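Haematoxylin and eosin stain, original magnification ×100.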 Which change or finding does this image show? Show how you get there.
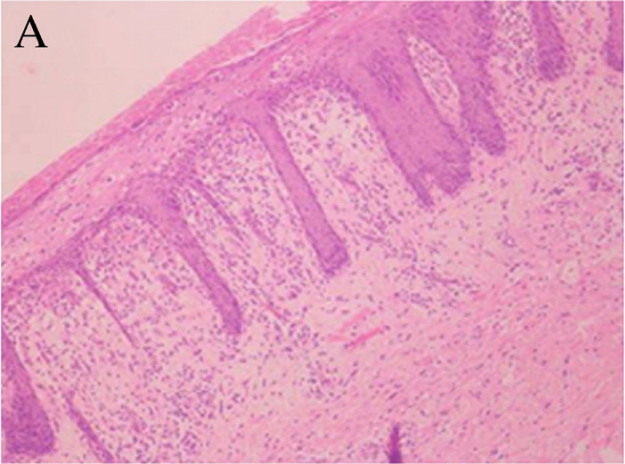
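Psoriasiform pattern. The epidermal rete ridges are regularly elongated, reaching down into the dermis. The ridges are of similar length and evenly spaced. The dermal papillae between the ridges hold many inflammatory cells.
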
